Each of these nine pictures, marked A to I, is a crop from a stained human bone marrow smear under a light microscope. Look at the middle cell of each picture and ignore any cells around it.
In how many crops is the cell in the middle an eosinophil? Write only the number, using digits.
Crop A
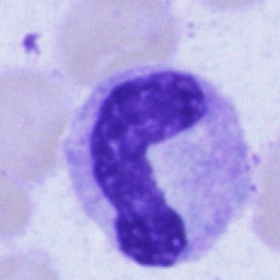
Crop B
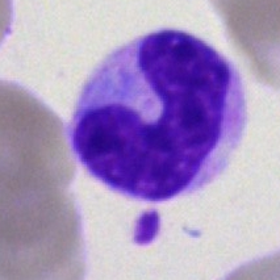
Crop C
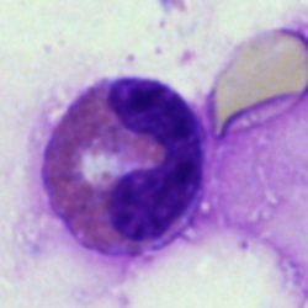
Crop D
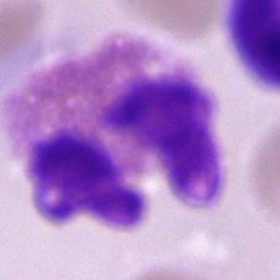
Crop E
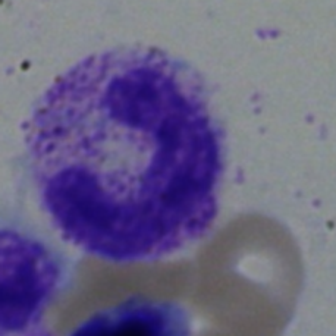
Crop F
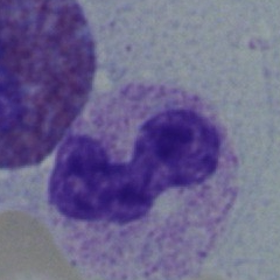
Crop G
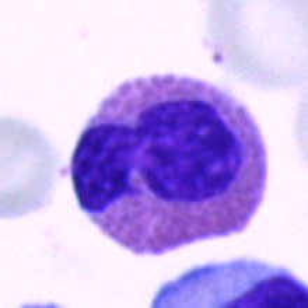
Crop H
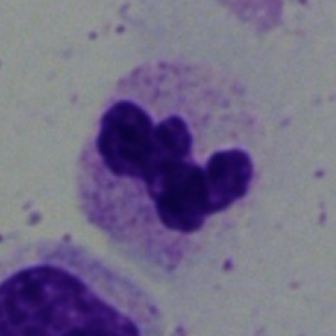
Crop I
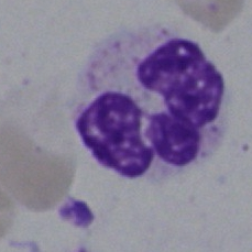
3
